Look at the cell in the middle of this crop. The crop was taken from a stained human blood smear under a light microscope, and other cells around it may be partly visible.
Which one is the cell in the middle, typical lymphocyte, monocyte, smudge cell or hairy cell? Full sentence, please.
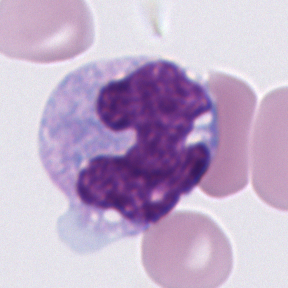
Centrally within this crop lies a monocyte.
